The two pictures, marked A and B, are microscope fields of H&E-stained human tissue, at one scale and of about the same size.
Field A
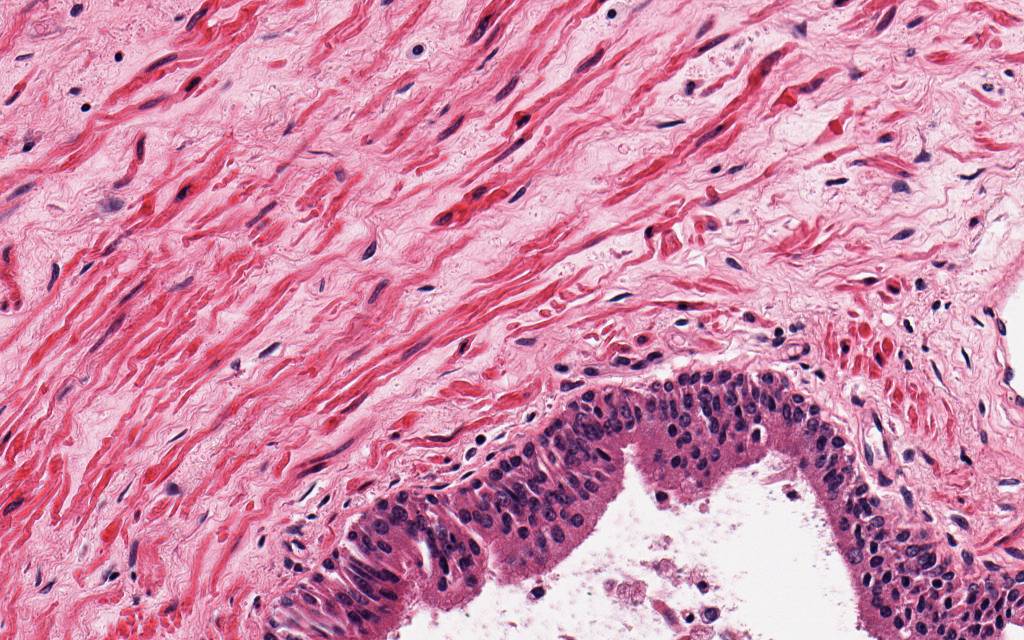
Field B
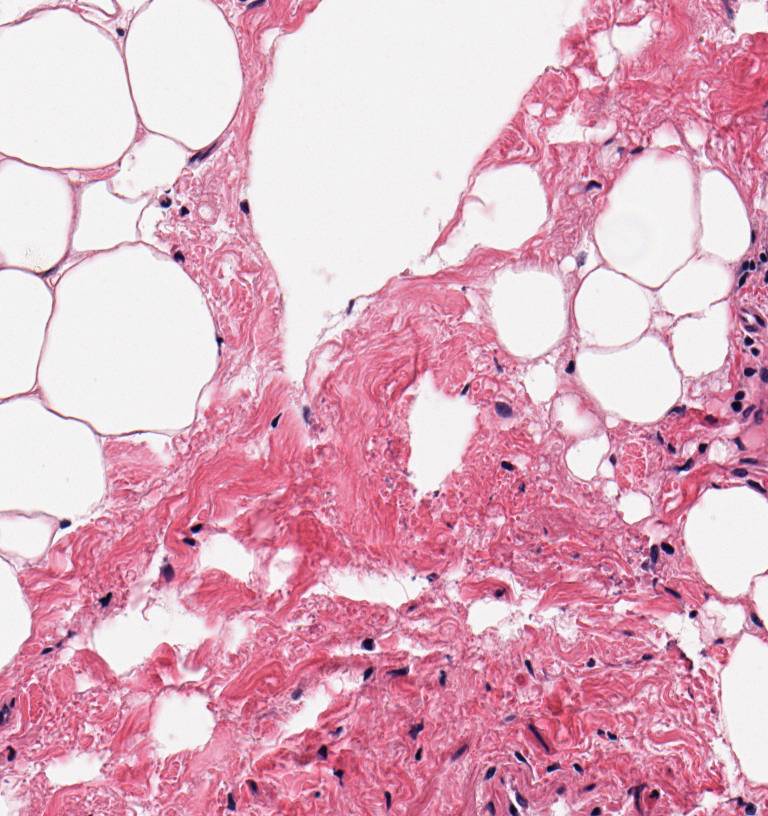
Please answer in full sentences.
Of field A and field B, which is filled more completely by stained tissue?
Less of field A is empty and white.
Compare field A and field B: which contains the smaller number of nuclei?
It is field B that has fewer nuclei in it.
